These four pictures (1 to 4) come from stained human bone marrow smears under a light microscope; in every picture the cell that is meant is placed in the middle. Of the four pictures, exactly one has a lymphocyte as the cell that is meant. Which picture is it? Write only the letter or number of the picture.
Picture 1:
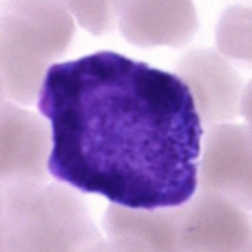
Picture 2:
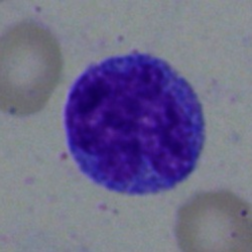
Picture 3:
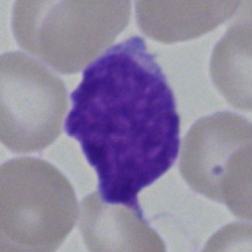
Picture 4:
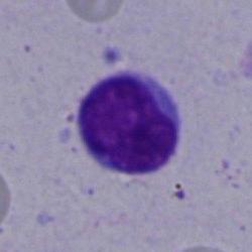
4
